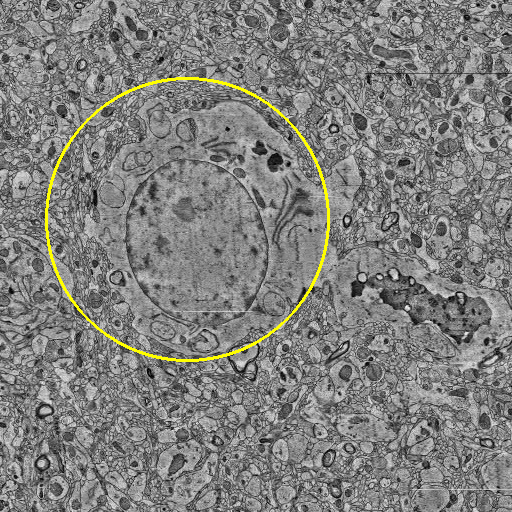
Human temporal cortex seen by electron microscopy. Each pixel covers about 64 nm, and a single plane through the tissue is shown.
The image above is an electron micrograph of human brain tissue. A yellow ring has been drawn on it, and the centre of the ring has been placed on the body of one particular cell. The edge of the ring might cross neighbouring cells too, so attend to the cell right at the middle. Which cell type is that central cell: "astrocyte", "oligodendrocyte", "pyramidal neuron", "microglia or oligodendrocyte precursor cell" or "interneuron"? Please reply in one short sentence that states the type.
The central cell in the ring is an astrocyte.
